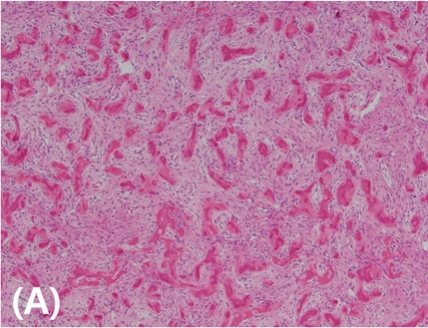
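Normal bone is replaced by loose, moderately cellular fibrous tissue that fills the field. Scattered evenly through it are many small, irregular, curved and branching spicules of immature bone that stain deep pink, with no orderly trabecular pattern.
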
